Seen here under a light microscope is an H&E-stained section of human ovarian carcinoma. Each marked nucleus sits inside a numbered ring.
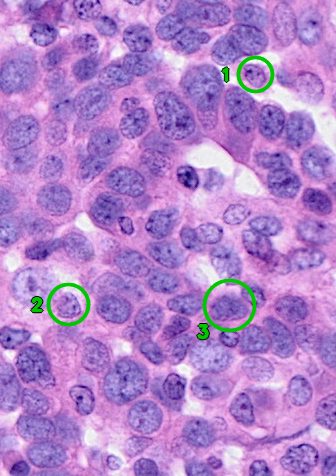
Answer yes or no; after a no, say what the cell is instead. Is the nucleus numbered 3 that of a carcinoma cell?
Yes.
